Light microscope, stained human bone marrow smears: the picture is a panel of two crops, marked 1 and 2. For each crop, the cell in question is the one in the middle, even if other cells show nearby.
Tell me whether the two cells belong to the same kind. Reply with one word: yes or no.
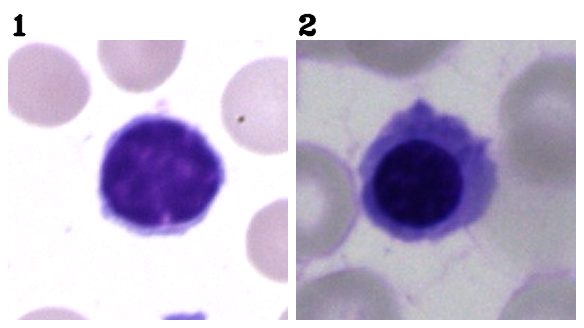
no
